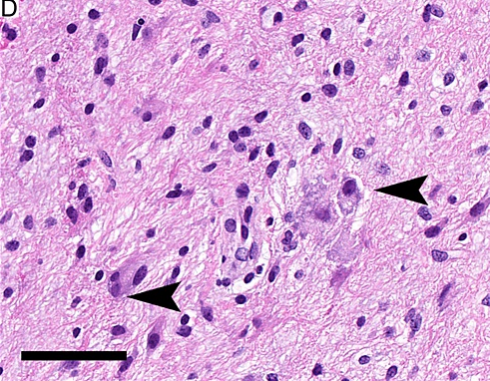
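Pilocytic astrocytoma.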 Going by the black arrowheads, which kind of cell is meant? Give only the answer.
Entrapped neurons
